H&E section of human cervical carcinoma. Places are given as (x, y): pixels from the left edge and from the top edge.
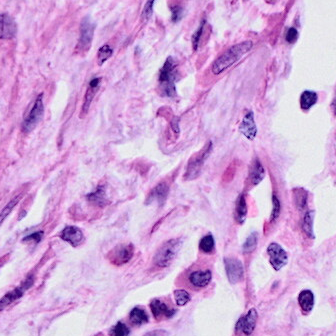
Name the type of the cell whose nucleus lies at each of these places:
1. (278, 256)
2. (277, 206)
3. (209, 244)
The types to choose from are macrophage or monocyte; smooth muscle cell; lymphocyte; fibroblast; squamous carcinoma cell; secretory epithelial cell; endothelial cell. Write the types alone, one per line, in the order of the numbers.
lymphocyte
endothelial cell
lymphocyte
